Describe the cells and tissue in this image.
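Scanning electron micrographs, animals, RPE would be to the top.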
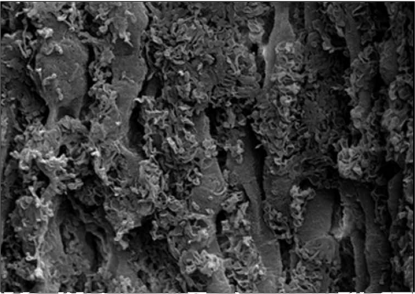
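These are photoreceptor outer segments, parallel cylindrical processes, here largely buried under deposits. The deposits form thick clumps of crumpled, flaky material that cover much of the processes, while smooth segment surfaces show through only in patches between them.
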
